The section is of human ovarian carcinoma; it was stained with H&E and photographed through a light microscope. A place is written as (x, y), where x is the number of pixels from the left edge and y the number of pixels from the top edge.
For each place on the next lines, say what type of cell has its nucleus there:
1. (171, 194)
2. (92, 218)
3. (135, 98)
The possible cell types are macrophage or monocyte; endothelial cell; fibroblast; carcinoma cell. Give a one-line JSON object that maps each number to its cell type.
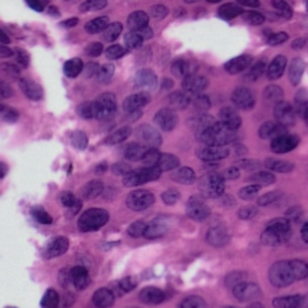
{"1": "macrophage or monocyte", "2": "carcinoma cell", "3": "carcinoma cell"}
